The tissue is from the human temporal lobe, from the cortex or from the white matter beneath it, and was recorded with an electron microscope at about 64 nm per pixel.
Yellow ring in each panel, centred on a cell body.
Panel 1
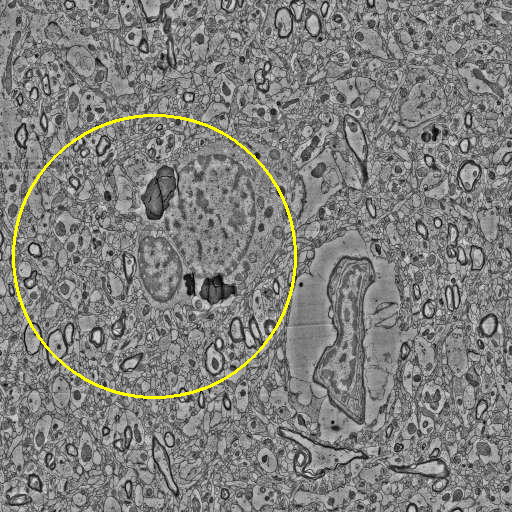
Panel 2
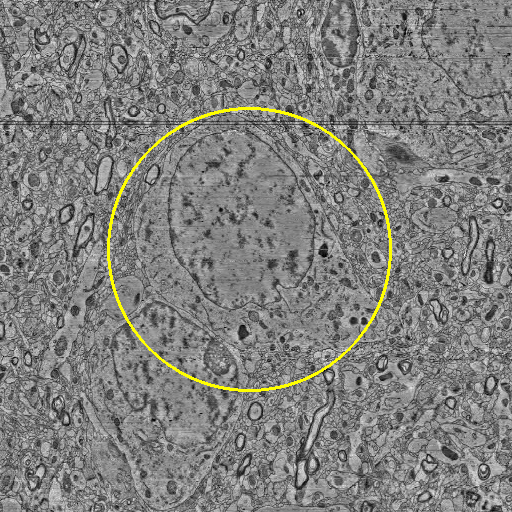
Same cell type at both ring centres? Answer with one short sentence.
No, the two cells are of two types.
